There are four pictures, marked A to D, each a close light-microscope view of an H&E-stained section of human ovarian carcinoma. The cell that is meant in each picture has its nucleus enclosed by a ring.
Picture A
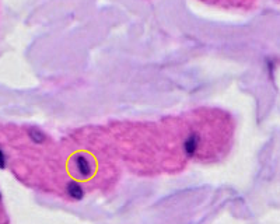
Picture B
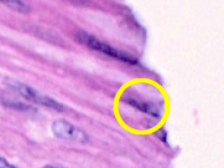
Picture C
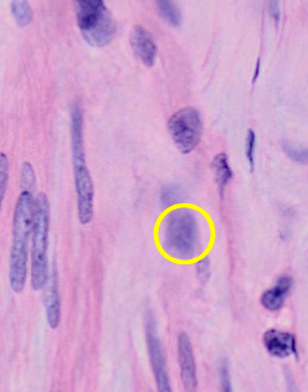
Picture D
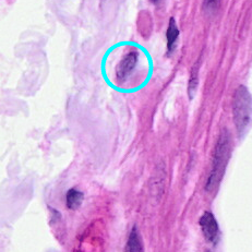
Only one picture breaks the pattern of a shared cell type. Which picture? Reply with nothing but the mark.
A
